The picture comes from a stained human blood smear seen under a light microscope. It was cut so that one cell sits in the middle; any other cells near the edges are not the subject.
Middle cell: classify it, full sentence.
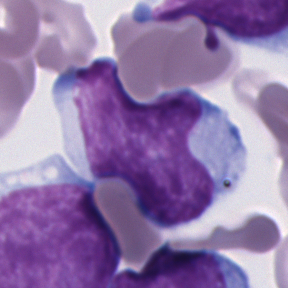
The cell featured at the centre of this crop is a blast.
